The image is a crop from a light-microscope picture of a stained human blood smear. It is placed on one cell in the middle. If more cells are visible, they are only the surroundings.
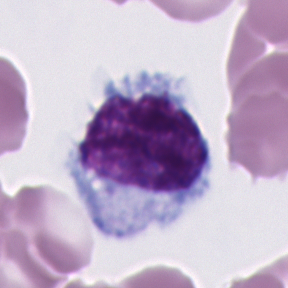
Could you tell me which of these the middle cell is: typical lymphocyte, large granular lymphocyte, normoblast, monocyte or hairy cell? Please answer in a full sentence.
What the crop centres on is a hairy cell.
